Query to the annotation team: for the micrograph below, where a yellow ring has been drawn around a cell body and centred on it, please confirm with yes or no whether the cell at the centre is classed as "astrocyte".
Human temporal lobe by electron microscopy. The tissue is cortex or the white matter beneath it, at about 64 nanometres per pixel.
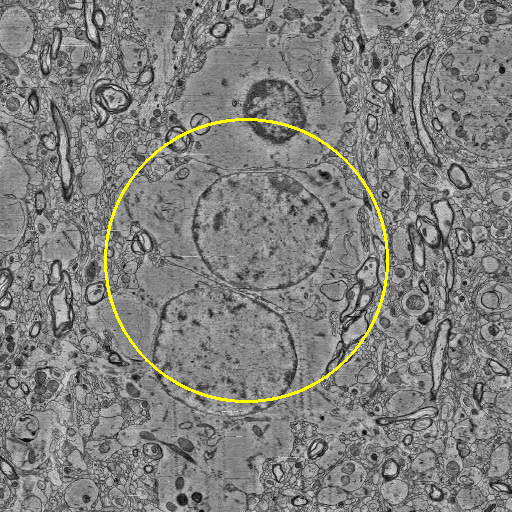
Yes, it is classed that way.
